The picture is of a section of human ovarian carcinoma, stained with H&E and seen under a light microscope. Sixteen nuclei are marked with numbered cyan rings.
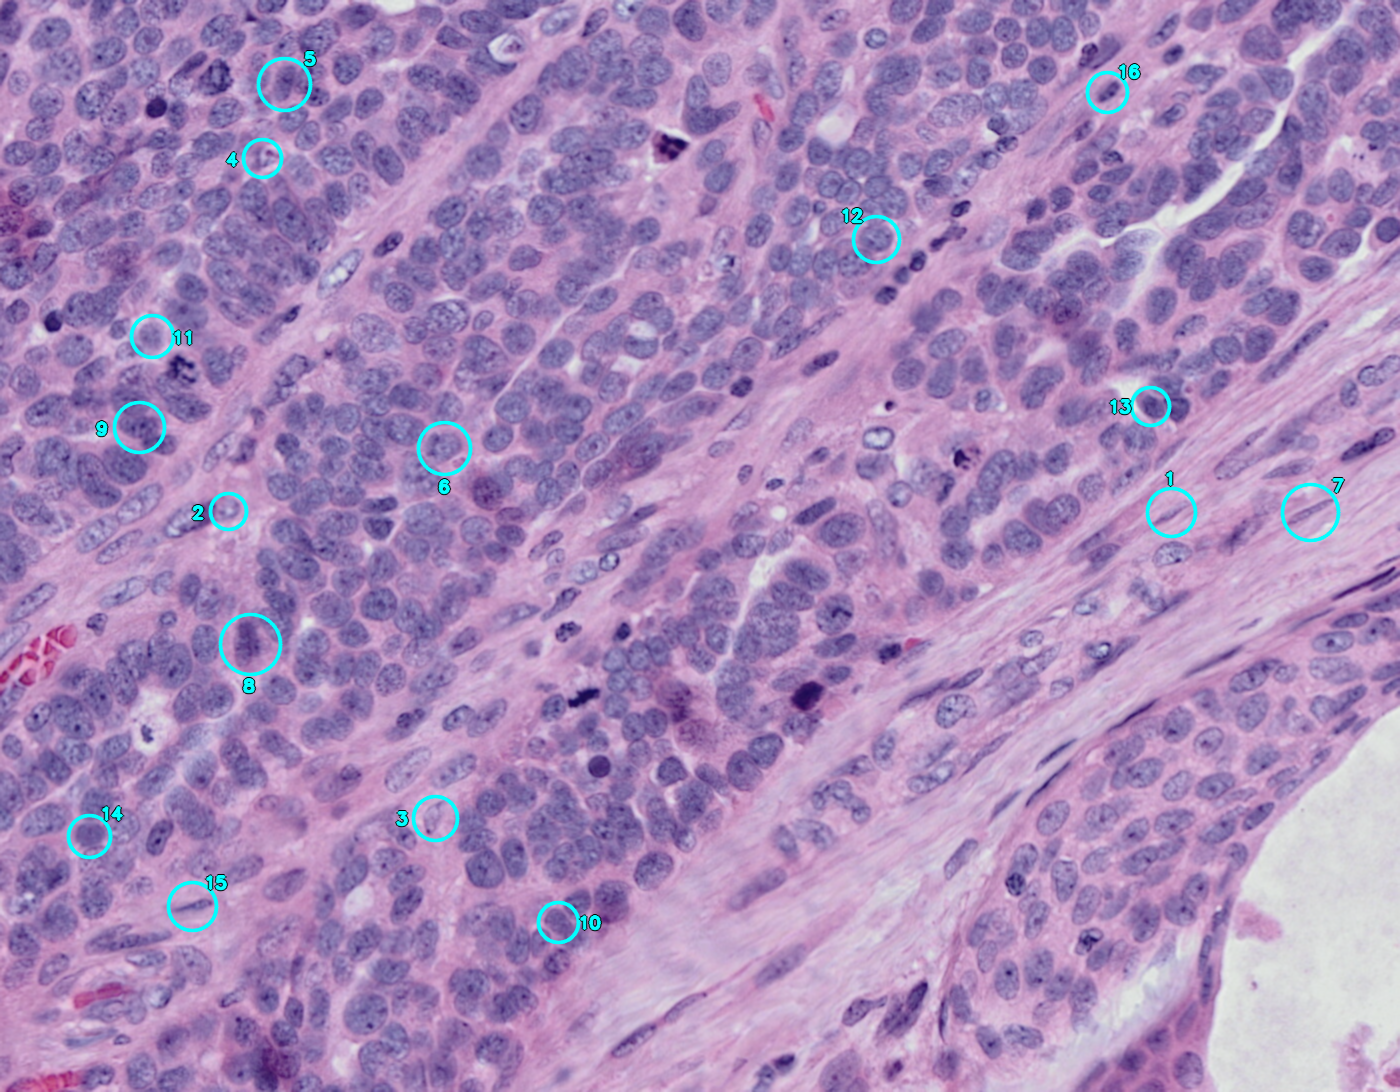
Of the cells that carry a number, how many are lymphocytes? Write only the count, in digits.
1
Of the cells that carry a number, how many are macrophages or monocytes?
1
